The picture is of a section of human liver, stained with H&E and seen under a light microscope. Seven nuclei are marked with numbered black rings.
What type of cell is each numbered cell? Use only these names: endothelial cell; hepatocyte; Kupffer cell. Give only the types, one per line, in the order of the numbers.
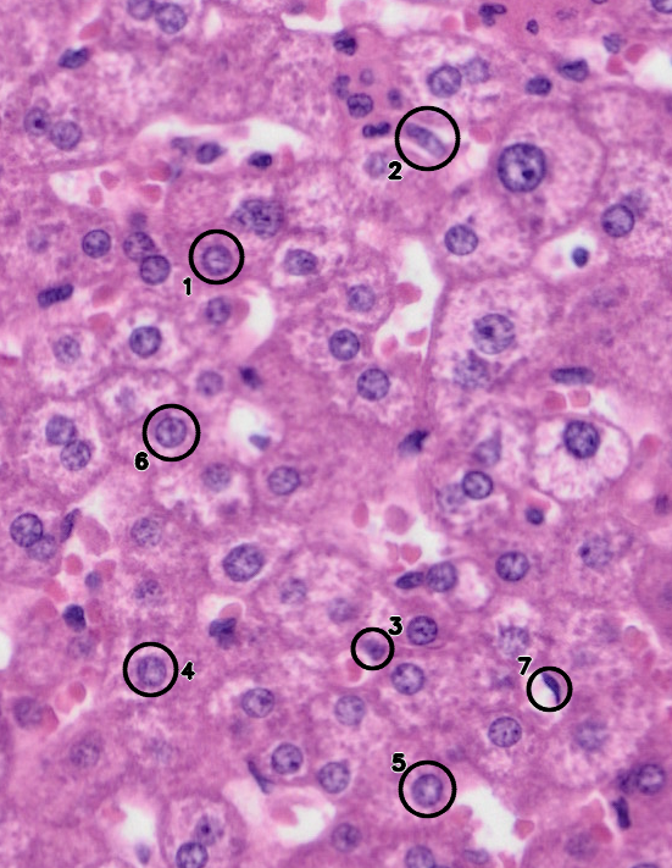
hepatocyte
Kupffer cell
endothelial cell
hepatocyte
hepatocyte
hepatocyte
endothelial cell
